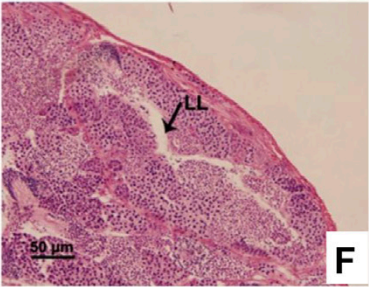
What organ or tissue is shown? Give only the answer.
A: Testis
